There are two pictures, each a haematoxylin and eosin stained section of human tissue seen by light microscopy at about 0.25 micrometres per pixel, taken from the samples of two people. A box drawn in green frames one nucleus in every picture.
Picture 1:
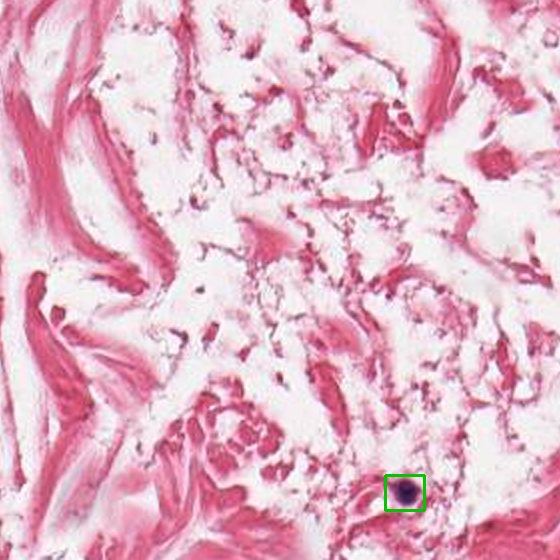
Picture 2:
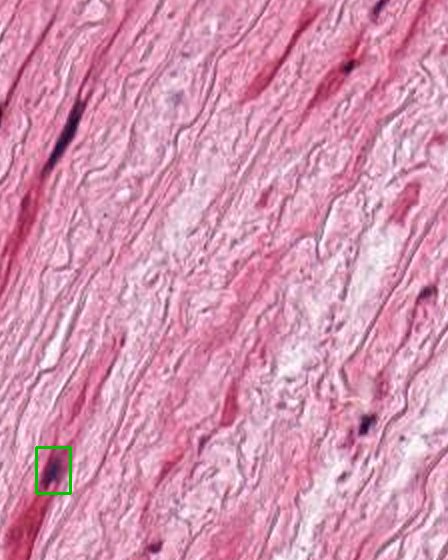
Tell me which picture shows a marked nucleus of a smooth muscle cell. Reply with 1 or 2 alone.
2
